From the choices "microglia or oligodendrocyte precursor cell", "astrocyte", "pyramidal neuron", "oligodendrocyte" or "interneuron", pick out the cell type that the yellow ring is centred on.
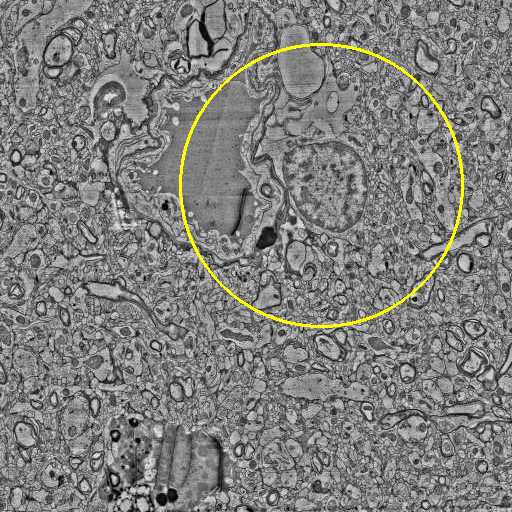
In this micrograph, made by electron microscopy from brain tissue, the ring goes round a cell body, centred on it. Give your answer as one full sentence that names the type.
The yellow ring is centred on an oligodendrocyte, whose cell body it encircles in the picture.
